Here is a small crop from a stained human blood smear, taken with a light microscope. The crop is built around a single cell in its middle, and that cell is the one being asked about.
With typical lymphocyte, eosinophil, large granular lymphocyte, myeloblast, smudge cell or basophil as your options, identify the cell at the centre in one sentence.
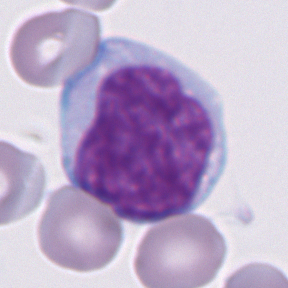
In this crop, the cell at the very middle is a myeloblast.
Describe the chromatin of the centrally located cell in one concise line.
The chromatin within its nucleus forms coarse clumps.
